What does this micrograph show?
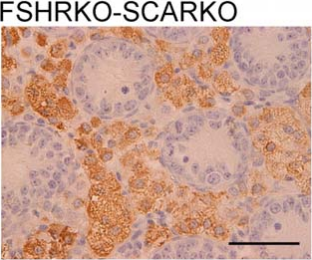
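Small seminiferous tubules with few layers of blue-nucleated cells are separated by wide interstitial areas filled with brown-stained Leydig cells. The Leydig cells are large and polygonal with abundant granular brown cytoplasm and lie in broad confluent sheets that take up much of the section between the tubules.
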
